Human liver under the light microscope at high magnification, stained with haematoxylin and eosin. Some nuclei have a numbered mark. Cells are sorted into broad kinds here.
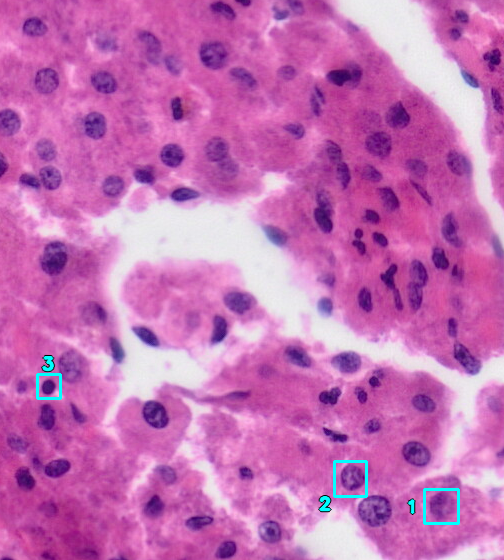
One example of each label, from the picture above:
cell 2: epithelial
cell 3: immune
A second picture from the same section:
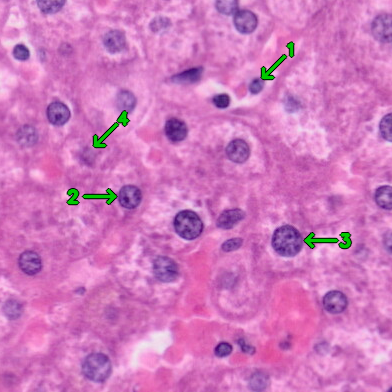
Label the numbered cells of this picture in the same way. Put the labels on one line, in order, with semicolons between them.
immune; epithelial; epithelial; epithelial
